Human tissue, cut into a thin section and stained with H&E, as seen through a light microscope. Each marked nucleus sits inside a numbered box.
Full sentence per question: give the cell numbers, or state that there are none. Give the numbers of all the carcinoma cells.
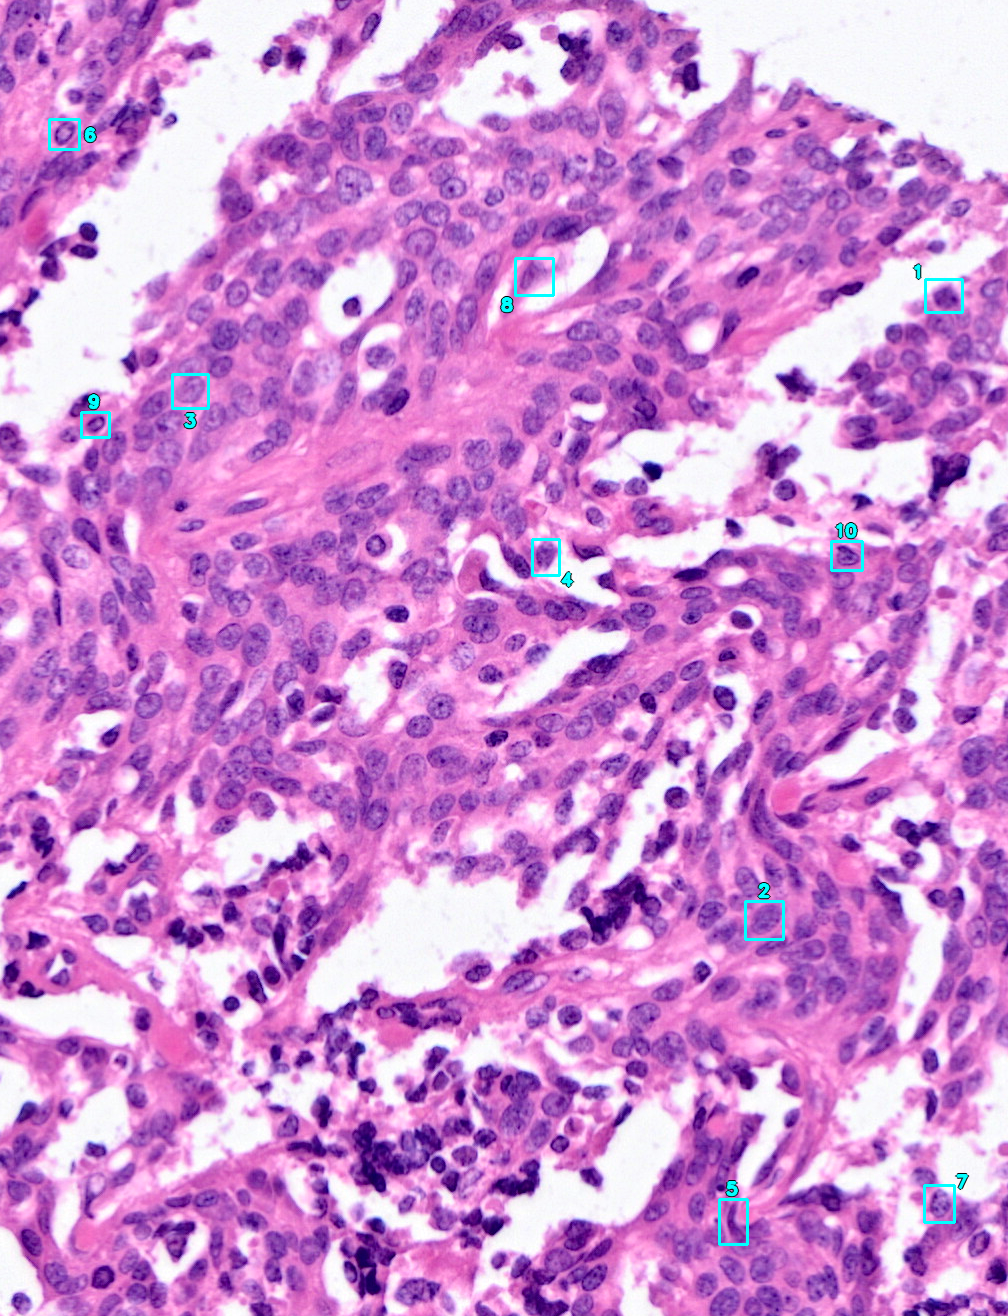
Identification: the cells with numbers 1, 2, 3, 4, 5 and 8 are carcinoma cells.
